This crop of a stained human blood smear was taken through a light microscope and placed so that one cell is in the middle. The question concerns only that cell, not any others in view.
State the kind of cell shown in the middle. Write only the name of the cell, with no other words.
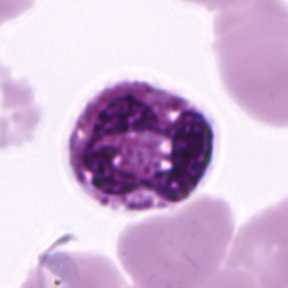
eosinophil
